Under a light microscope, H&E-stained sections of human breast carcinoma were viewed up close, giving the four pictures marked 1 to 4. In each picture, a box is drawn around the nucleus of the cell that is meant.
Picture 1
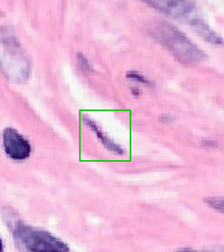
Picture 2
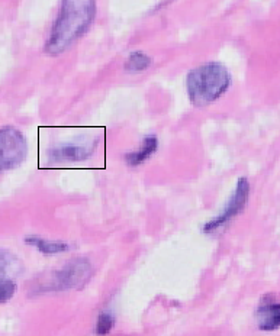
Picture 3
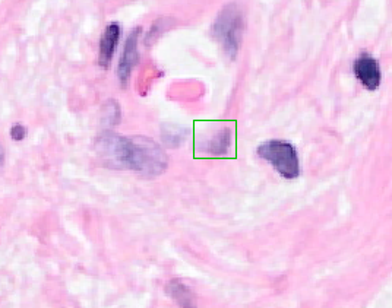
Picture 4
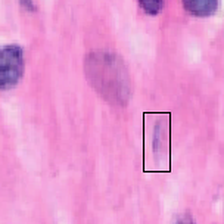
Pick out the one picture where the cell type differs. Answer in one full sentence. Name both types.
Picture 3 is the odd one out: it shows an endothelial cell, while the others show fibroblasts.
